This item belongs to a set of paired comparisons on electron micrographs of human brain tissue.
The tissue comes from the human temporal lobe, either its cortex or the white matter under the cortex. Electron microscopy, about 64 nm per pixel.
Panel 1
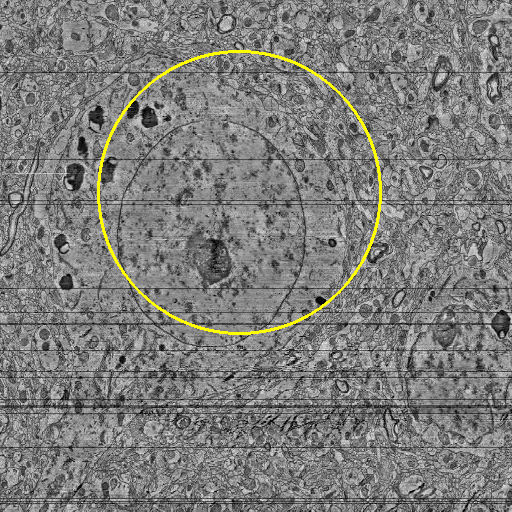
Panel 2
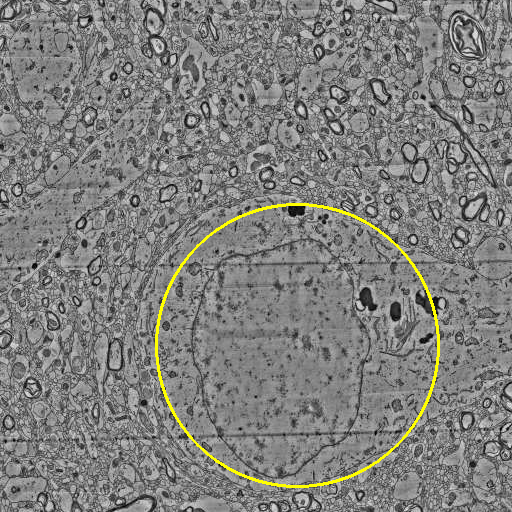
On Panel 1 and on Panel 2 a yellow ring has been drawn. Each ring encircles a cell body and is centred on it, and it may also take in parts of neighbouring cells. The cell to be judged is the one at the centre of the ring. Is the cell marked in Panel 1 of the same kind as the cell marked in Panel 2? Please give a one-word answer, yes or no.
yes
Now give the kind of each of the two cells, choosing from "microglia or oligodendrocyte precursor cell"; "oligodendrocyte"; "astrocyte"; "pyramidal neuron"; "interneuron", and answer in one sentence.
Each of the two rings surrounds a pyramidal neuron.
